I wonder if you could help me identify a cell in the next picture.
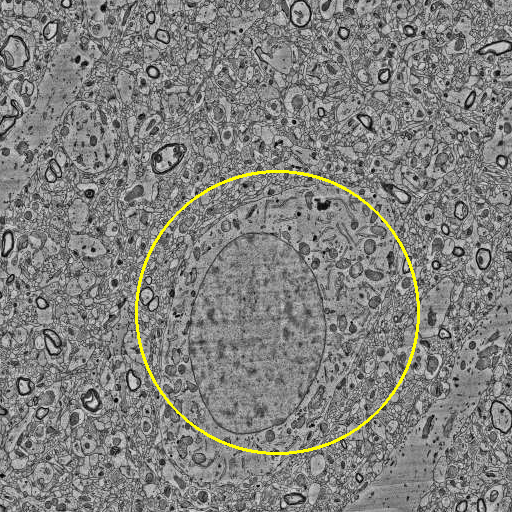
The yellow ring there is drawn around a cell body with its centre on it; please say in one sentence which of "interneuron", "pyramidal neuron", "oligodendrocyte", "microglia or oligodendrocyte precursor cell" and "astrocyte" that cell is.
The yellow ring is centred on an interneuron.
